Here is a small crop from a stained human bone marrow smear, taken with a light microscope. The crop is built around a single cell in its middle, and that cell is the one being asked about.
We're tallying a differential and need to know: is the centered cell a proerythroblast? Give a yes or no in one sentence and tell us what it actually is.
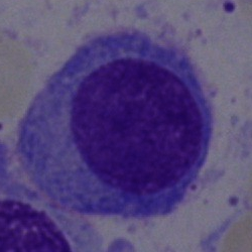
No, the cell at the centre of the crop is a plasma cell and not a proerythroblast.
